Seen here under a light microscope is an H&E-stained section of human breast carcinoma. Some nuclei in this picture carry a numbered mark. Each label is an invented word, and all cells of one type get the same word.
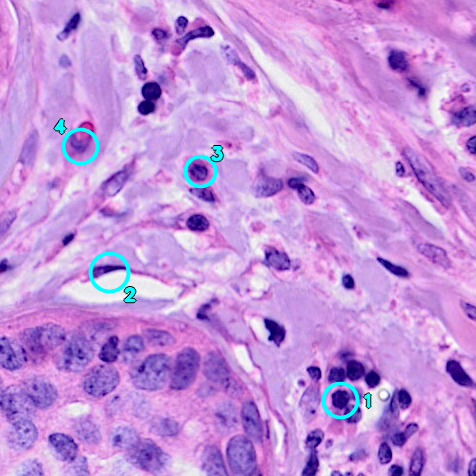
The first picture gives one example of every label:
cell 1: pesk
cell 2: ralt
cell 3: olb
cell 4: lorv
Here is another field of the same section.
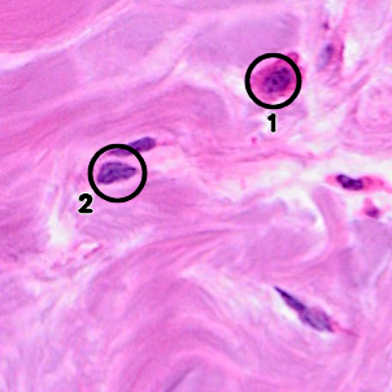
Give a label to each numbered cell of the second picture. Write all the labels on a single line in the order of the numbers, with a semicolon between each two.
olb; ralt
